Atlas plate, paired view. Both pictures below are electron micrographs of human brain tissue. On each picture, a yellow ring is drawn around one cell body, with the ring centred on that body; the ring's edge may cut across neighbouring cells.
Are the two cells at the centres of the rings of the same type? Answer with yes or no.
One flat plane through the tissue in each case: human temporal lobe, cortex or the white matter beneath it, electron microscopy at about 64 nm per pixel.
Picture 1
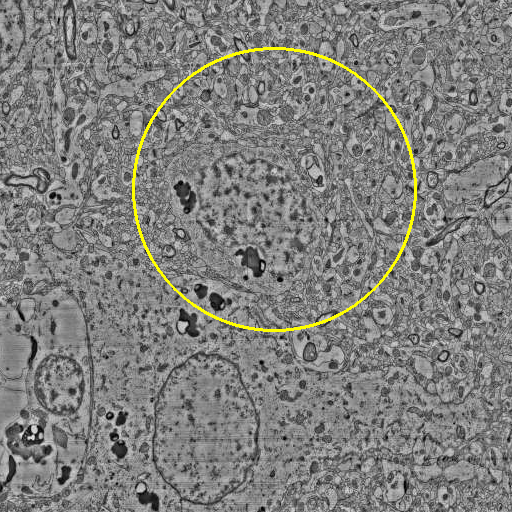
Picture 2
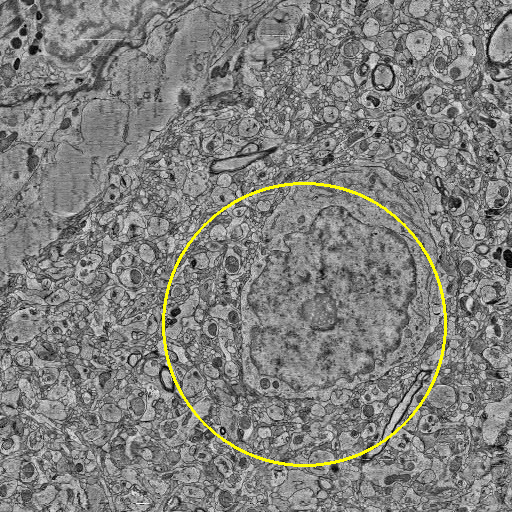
yes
